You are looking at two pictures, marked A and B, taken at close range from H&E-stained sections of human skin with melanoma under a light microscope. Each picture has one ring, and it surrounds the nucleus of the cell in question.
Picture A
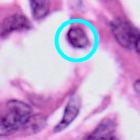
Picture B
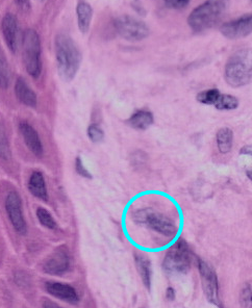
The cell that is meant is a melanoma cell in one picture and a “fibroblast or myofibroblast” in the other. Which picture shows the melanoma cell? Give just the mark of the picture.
A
